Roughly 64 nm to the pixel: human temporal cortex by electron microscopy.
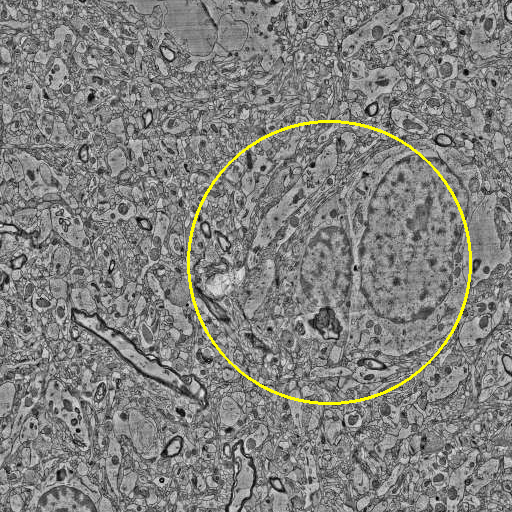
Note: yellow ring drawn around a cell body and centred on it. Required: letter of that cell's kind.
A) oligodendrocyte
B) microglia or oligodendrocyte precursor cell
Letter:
A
